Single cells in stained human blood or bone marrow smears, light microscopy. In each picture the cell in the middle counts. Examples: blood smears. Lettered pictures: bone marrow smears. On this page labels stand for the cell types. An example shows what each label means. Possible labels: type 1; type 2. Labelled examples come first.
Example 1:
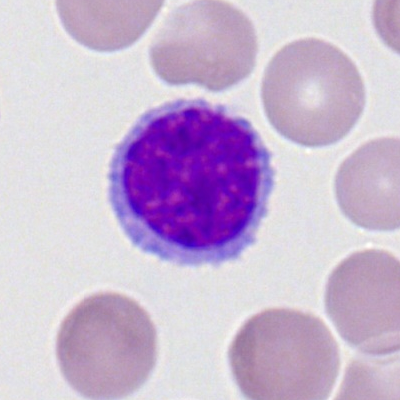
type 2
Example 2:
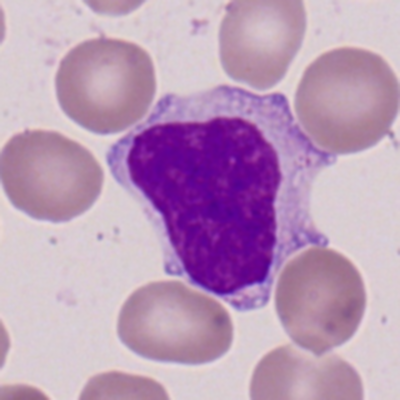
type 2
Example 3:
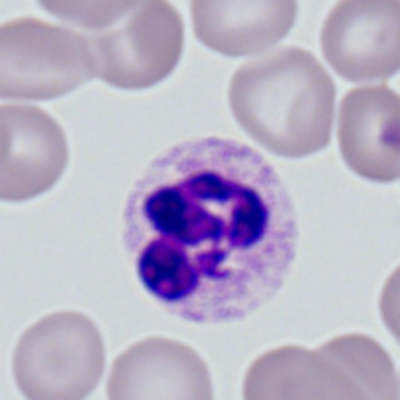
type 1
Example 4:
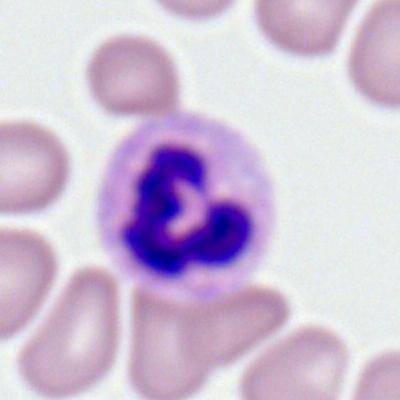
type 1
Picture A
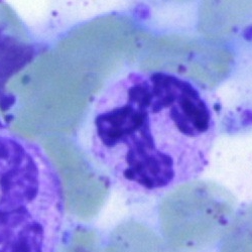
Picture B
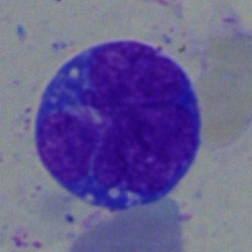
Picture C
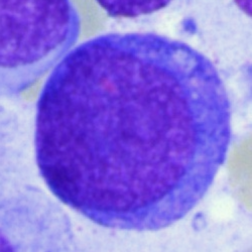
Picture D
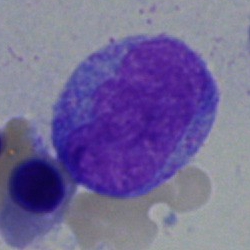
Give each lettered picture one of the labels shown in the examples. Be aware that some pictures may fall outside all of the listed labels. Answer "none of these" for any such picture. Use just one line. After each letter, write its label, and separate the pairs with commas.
A type 1, B none of these, C none of these, D none of these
